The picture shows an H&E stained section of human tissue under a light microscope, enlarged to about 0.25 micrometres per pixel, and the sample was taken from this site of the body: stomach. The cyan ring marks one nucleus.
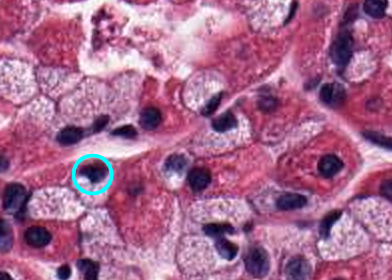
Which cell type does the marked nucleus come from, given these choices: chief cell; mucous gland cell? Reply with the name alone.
mucous gland cell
